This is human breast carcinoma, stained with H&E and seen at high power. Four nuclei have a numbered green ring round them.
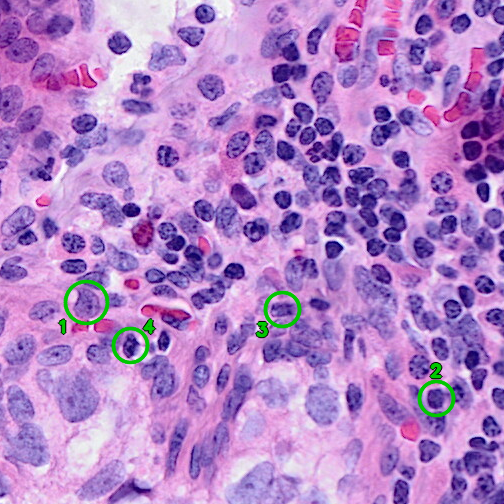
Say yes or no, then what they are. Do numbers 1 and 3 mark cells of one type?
No, cell 1 is an endothelial cell and cell 3 is a lymphocyte.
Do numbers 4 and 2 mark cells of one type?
Yes, both are lymphocytes.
